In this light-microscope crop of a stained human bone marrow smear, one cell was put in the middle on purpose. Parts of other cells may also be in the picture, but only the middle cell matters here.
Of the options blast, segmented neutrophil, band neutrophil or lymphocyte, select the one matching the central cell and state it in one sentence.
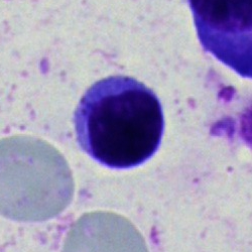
To answer, the cell in the center of the crop is a lymphocyte.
